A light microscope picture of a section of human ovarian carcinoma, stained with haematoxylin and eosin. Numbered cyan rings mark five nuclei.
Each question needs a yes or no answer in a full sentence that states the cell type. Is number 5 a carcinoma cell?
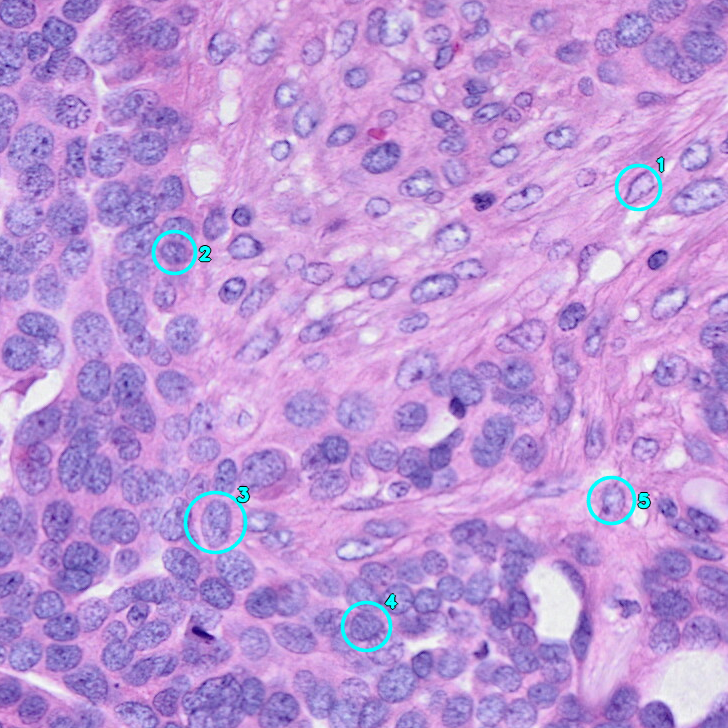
No, the cell at number 5 is a fibroblast instead of a carcinoma cell.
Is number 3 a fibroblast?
No, number 3 points to a carcinoma cell and not to a fibroblast.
